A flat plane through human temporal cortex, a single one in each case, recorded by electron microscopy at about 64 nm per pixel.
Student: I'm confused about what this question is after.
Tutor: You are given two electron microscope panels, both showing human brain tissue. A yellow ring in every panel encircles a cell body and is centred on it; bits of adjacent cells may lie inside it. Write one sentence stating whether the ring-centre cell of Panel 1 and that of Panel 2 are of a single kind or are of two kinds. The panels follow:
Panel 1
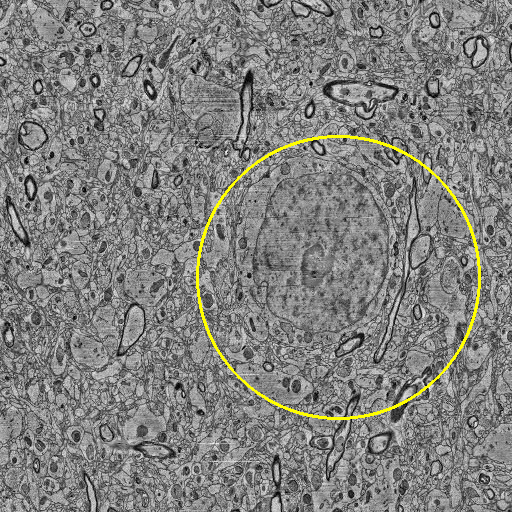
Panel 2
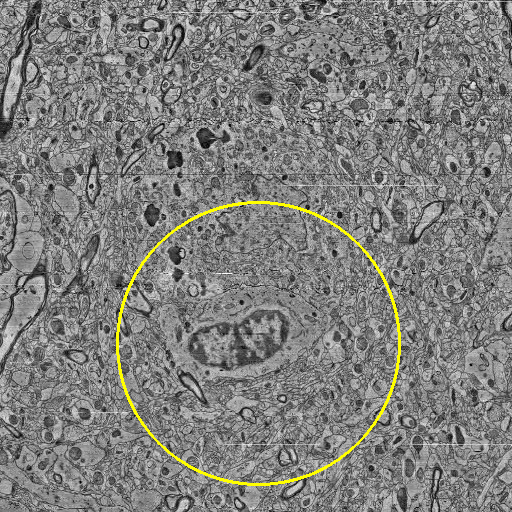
Here, the Panel 1 ring-centre cell and the Panel 2 ring-centre cell are of two kinds.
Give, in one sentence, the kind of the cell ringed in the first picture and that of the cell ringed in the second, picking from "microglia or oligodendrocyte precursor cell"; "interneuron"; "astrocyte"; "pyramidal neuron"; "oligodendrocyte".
For the first picture it is an interneuron; for the second, a microglial cell or oligodendrocyte precursor cell.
